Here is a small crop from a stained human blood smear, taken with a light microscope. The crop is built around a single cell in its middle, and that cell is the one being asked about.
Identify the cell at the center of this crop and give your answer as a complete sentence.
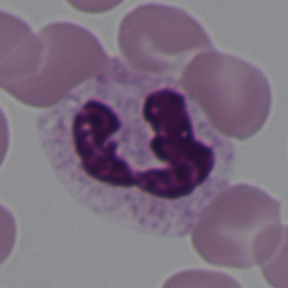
Within this crop, a segmented neutrophil occupies the central position.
